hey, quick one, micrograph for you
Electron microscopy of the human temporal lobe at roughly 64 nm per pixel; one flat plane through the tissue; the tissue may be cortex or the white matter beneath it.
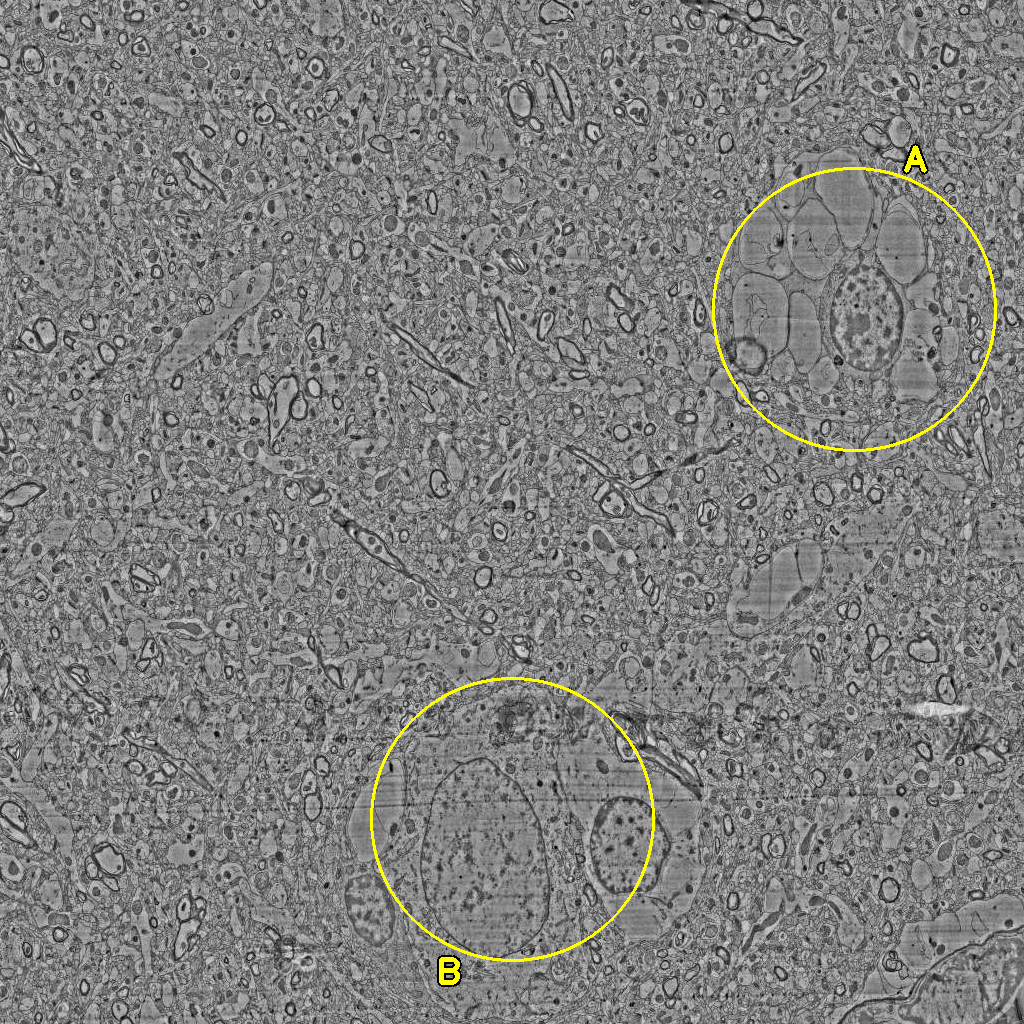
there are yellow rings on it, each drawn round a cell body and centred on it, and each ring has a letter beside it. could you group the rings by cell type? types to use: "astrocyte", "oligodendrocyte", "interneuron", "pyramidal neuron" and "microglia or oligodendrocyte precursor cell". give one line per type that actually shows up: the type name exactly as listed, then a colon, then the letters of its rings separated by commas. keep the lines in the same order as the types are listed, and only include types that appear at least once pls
oligodendrocyte: A
pyramidal neuron: B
